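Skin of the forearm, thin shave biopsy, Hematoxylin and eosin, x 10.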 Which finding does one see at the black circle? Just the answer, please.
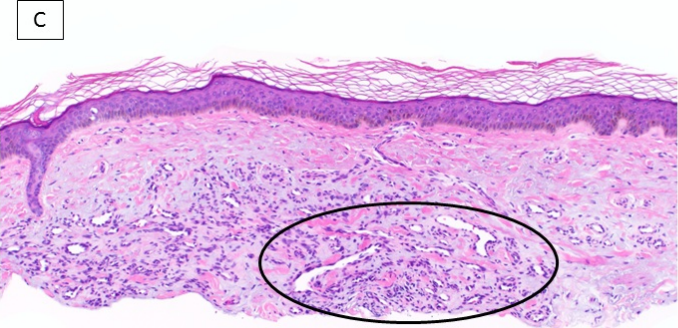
Jagged, slit-like spaces.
